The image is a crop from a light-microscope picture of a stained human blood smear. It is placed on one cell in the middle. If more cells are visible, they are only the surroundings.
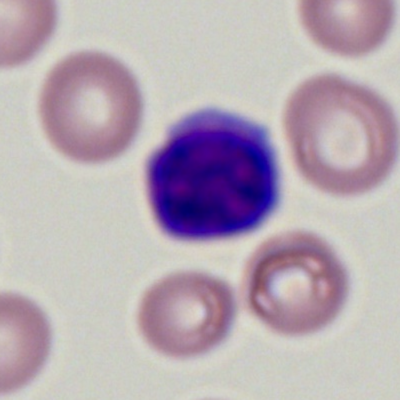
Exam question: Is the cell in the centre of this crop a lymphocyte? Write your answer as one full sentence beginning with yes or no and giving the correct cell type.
Yes, the cell sitting in the center is a lymphocyte.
